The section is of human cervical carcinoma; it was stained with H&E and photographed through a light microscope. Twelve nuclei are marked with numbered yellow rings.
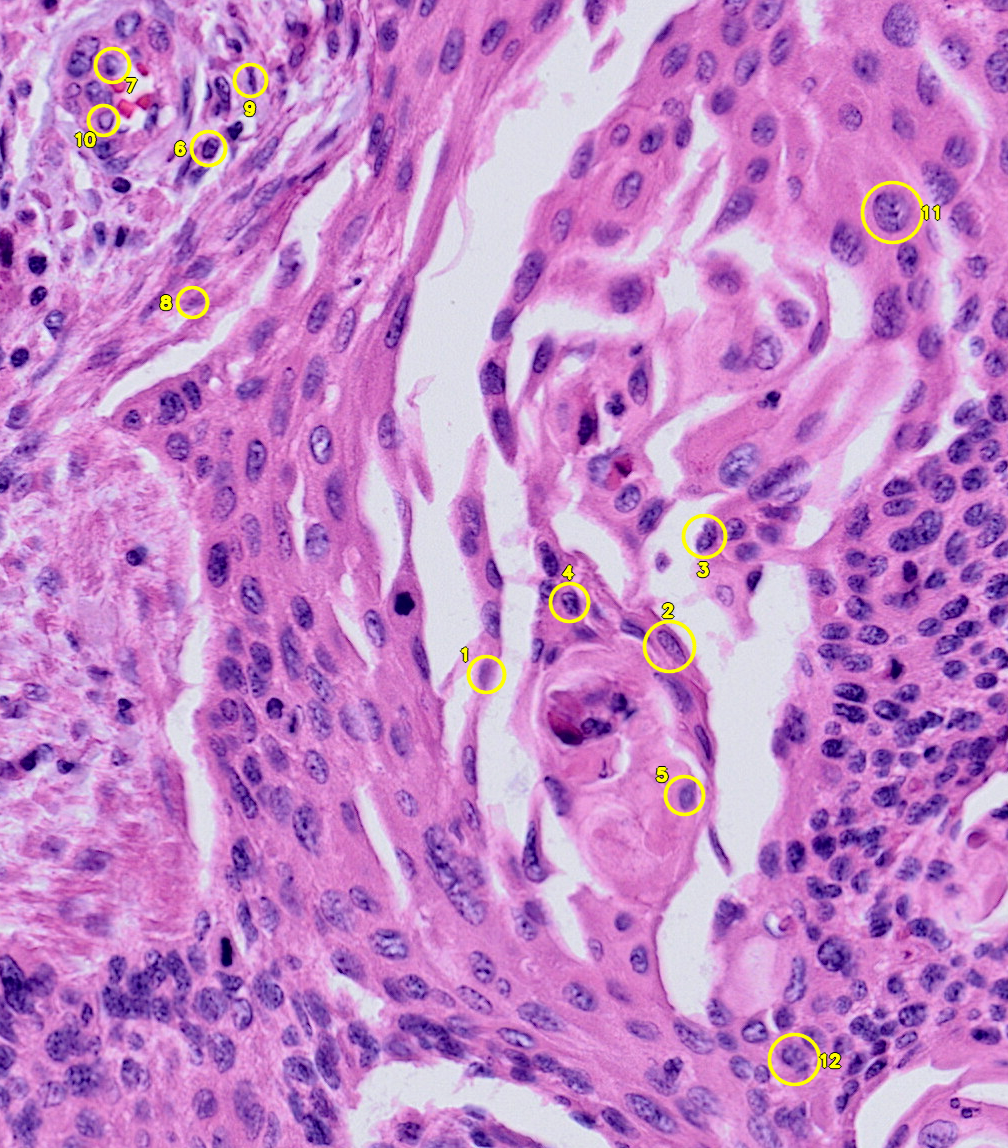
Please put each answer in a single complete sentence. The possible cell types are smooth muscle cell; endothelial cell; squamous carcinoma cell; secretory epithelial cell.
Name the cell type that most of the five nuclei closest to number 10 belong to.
Around number 10, most of the five nearest nuclei are those of smooth muscle cells.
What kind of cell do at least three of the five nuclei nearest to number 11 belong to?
Of the five nuclei nearest to number 11, most belong to squamous carcinoma cells.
